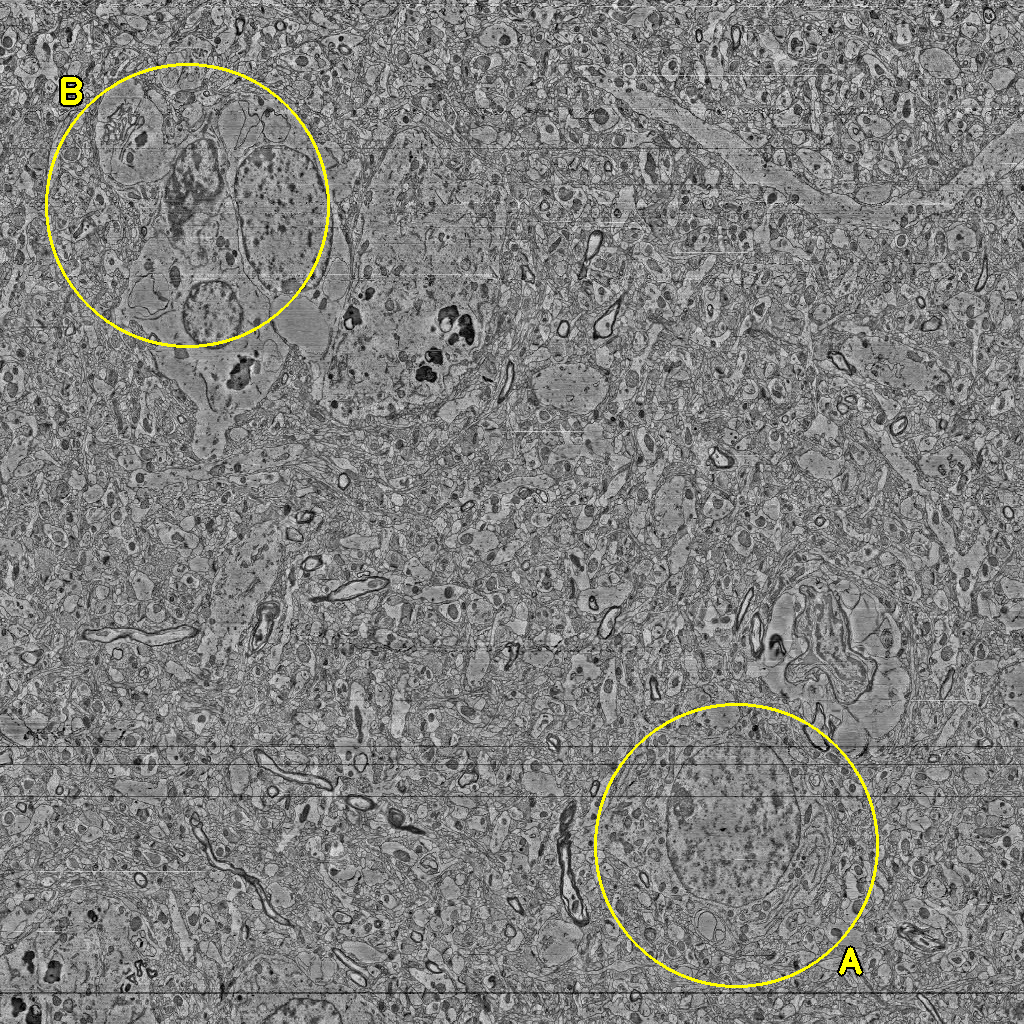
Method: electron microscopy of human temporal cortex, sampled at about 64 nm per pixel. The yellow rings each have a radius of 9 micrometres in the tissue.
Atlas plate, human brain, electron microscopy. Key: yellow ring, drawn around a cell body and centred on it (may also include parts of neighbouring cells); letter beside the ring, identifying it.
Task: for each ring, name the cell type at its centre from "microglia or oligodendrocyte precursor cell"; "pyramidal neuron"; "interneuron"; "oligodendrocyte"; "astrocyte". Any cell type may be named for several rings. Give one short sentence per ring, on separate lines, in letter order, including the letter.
Ring A is centred over an interneuron.
Ring B is centred over a microglial cell or oligodendrocyte precursor cell.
